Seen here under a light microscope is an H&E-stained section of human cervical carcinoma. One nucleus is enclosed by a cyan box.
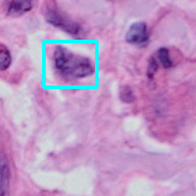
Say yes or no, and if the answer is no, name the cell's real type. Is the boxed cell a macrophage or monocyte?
Yes.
